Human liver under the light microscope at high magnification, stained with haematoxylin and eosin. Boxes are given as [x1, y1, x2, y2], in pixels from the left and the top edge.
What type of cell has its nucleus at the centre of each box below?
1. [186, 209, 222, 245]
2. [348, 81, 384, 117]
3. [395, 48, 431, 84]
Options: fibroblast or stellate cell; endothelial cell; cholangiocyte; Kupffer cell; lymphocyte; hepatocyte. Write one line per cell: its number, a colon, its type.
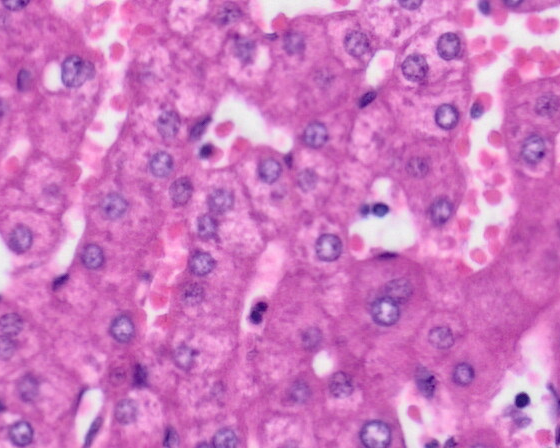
1: hepatocyte
2: fibroblast or stellate cell
3: hepatocyte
